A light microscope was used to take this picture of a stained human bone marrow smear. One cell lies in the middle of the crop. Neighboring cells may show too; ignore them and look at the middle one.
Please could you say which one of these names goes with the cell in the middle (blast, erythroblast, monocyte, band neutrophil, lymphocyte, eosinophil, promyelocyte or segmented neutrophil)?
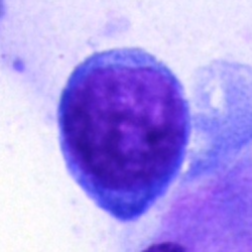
blast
